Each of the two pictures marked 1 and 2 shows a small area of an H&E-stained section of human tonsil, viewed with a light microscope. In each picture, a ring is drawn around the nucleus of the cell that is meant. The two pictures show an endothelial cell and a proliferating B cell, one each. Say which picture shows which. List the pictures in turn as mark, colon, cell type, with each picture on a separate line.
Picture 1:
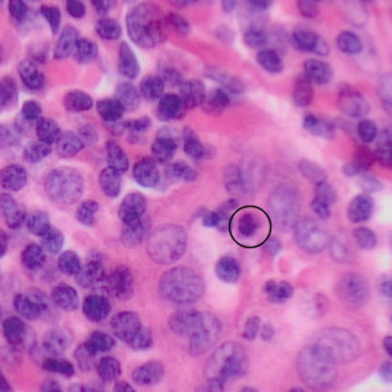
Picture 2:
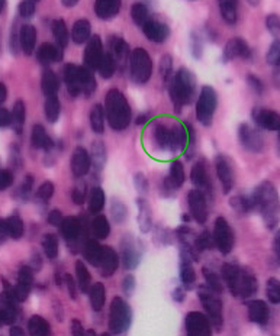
1: endothelial cell
2: proliferating B cell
